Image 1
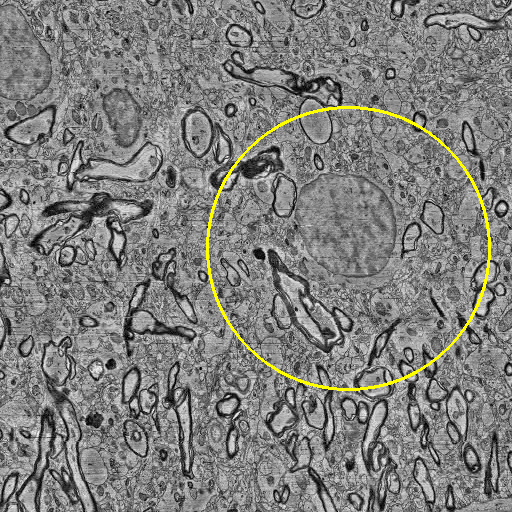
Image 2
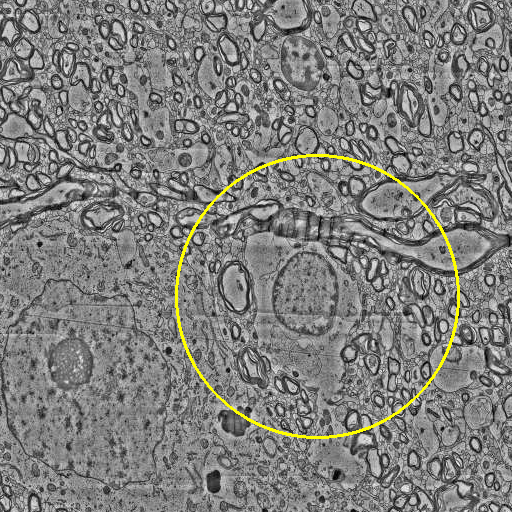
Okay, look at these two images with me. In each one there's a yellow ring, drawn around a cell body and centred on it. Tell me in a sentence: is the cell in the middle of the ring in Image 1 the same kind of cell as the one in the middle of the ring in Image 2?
No, they're two kinds of cell.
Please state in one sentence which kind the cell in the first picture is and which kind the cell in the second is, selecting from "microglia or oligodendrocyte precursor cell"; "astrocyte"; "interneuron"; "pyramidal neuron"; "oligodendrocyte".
The first ringed cell is an oligodendrocyte, the second ringed cell an astrocyte.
